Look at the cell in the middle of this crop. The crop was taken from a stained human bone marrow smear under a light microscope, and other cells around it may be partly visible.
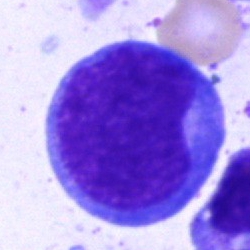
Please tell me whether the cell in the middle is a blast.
yes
